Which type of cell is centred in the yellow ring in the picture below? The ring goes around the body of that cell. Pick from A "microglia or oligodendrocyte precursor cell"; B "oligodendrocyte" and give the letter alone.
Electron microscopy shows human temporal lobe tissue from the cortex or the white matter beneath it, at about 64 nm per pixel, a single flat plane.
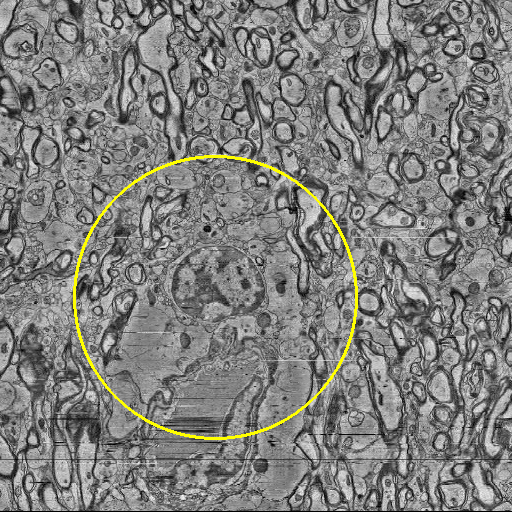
A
